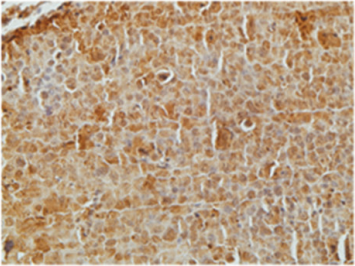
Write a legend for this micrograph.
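Nearly all the cells carry a dense brown stain in their cytoplasm, which outlines each cell against its neighbours. Round to oval nuclei are seen as paler areas within the brown cytoplasm. Thin clefts and a few small round spaces interrupt the sheet, and the staining is somewhat stronger along the upper edge of the field.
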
